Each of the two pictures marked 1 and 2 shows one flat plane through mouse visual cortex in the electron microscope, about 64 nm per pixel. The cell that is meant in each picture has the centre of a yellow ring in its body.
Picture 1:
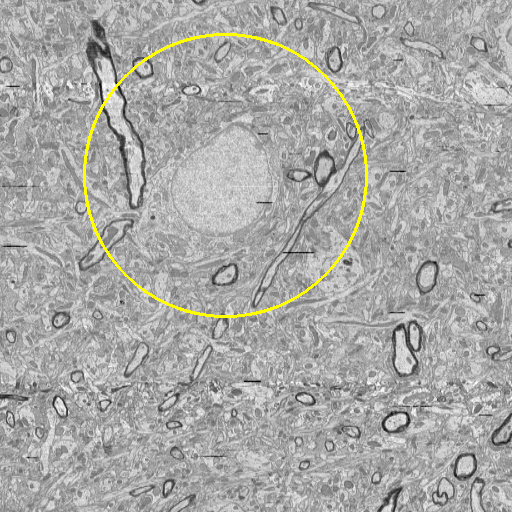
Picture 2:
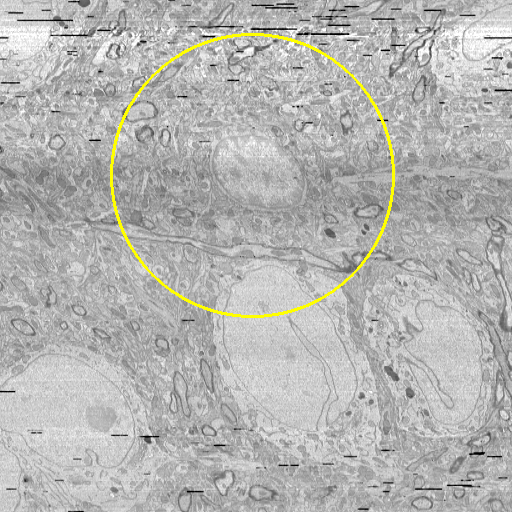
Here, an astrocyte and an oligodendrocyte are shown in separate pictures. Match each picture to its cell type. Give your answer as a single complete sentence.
It is picture 1 that shows an astrocyte, and picture 2 that shows an oligodendrocyte.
